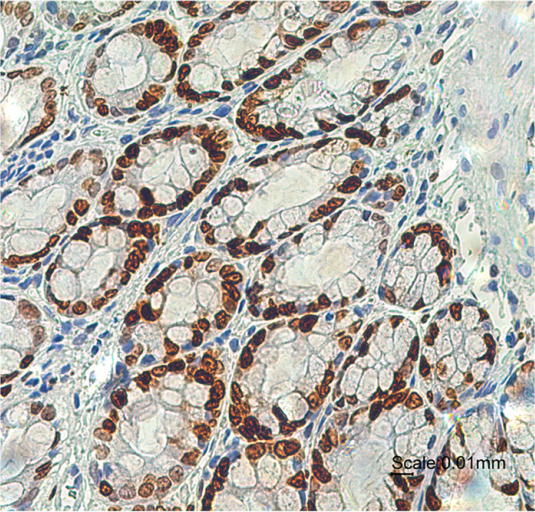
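The crypts are filled with goblet cells having pale, clear mucin-filled cytoplasm, with epithelial nuclei pushed to the crypt periphery. Many of these peripheral epithelial nuclei are stained dark brown, whereas the nuclei of the stromal cells between the crypts are blue. Narrow bands of lamina propria with elongated and round blue nuclei separate the crypts.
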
